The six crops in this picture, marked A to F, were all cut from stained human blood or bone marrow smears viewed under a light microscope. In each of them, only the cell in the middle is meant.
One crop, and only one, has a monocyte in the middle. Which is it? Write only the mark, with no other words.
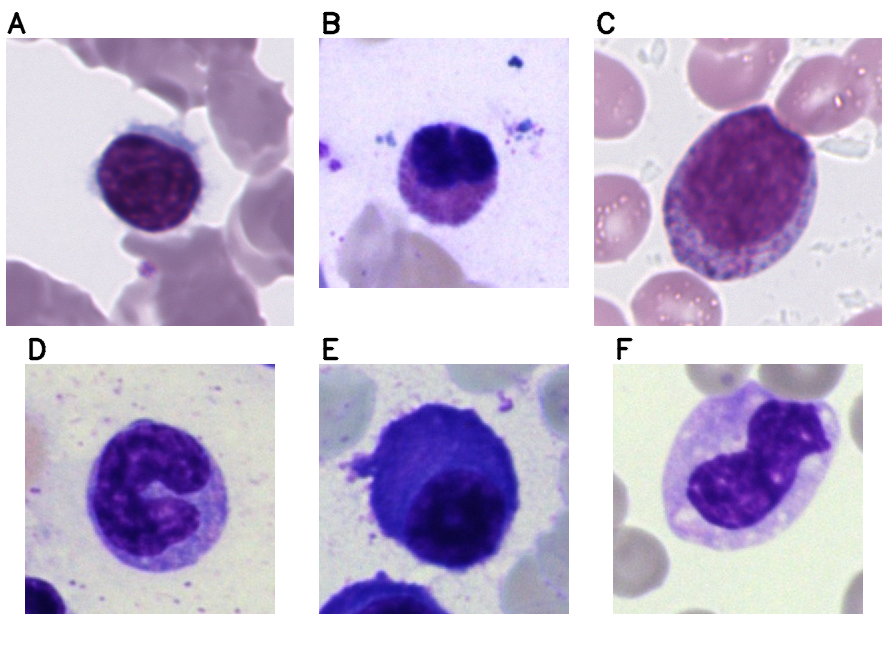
D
